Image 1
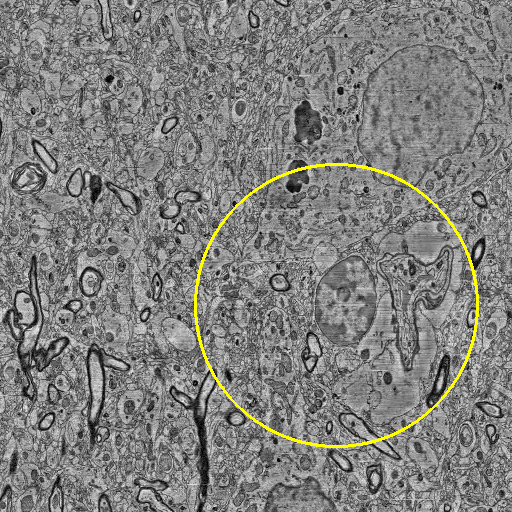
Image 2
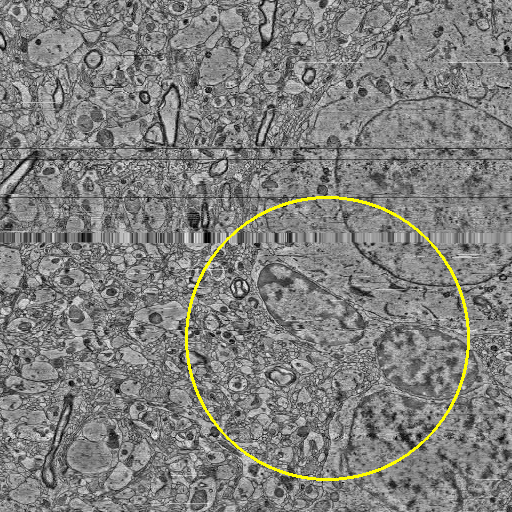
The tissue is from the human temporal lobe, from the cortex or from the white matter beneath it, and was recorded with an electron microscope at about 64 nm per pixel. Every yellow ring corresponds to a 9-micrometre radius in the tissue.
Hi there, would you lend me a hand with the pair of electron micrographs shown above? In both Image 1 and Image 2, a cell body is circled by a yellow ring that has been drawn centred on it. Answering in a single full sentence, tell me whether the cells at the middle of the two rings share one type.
Yes, the ringed cells in Image 1 and Image 2 share one type.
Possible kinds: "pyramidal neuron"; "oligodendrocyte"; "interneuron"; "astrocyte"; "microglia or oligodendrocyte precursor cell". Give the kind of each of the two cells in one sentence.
Each of the two rings is centred on a microglial cell or oligodendrocyte precursor cell.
